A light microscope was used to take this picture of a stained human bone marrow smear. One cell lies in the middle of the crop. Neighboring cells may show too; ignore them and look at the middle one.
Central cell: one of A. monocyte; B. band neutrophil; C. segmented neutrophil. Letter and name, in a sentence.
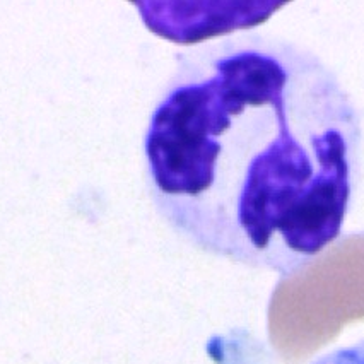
Option C is correct in naming the middle cell a segmented neutrophil.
